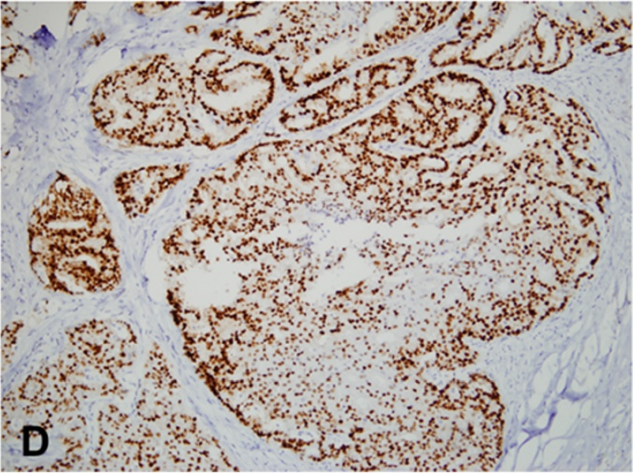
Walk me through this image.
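Here the tumor cells form rounded nests and gland-like structures set in fibrous stroma. The brown stain sits in the nuclei of the tumor cells, while their cytoplasm stays pale. The surrounding stroma is pale and loose, with blue, unstained spindle-shaped nuclei. The contrast between dark brown nuclei in the nests and blue nuclei in the stroma outlines each nest clearly.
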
